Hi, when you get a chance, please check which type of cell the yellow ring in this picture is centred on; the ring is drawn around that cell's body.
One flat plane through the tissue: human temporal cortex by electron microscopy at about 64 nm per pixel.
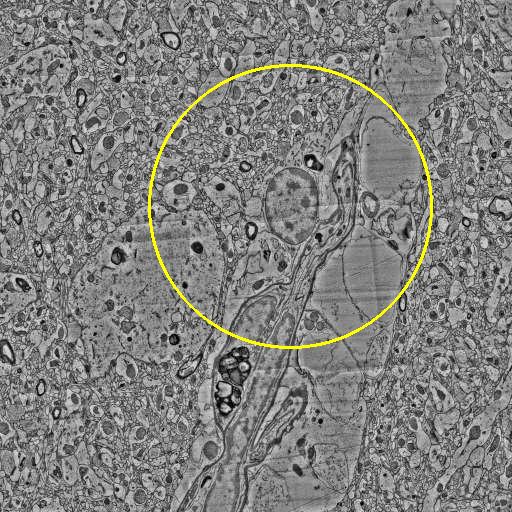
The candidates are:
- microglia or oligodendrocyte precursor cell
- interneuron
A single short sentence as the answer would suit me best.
The ring is drawn around the body of a microglial cell or oligodendrocyte precursor cell.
